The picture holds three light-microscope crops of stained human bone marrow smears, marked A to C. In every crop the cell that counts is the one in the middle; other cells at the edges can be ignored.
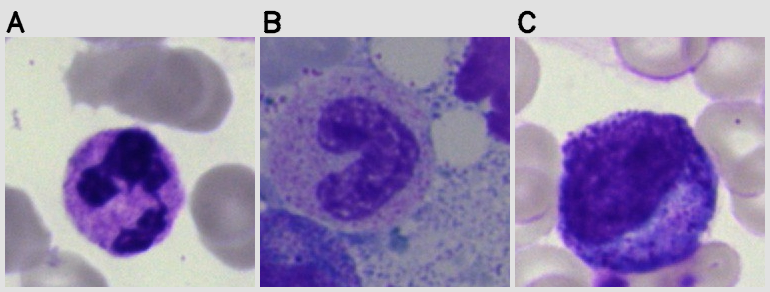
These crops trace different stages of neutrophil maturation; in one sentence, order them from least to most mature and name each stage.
By stage of maturation, from earliest to latest, the order is crop C (a myelocyte), crop B (a band neutrophil) and crop A (a segmented neutrophil).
